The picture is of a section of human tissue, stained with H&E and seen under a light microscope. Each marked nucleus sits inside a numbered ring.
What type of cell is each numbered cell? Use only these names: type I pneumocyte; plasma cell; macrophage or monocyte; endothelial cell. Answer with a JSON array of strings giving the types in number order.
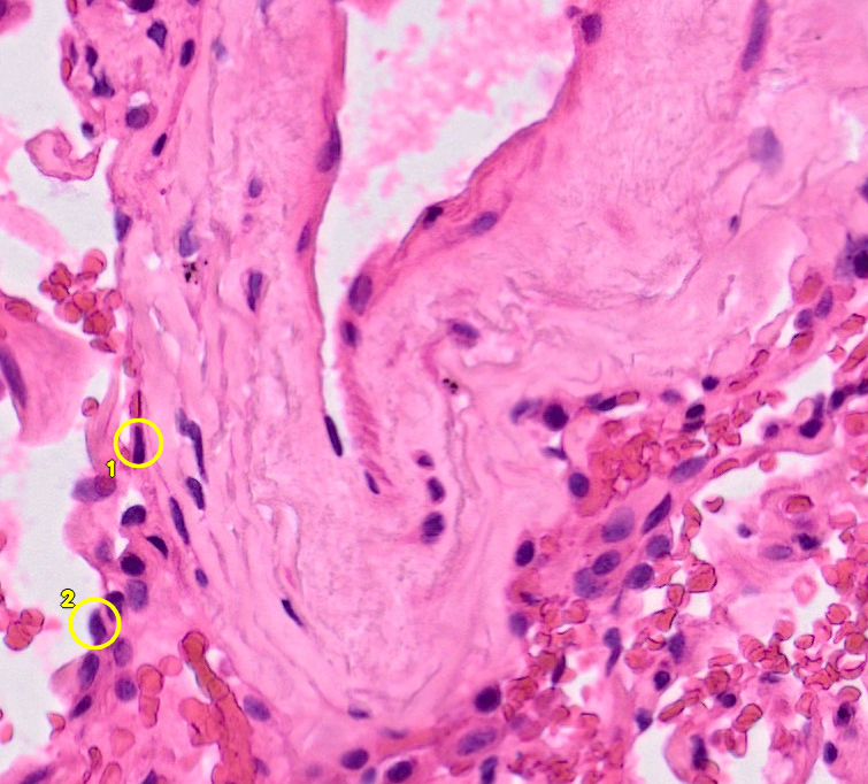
["endothelial cell", "type I pneumocyte"]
